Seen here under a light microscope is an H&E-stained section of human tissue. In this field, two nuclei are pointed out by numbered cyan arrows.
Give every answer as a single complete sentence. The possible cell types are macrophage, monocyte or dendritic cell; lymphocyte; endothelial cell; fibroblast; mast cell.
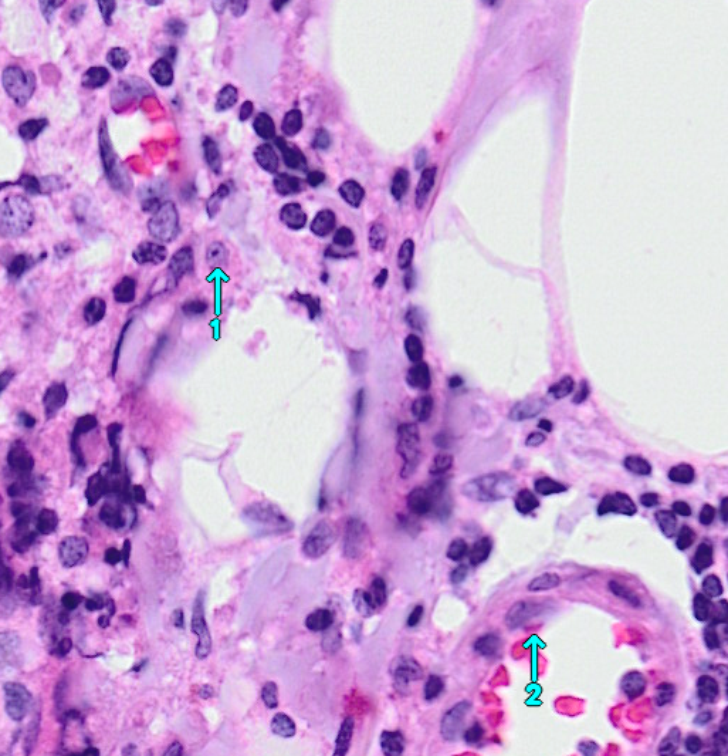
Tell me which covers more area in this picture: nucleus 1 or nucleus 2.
Number 2 is larger; its area is about 3 times that of number 1.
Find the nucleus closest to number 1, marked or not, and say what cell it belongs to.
Closest to number 1 lies the nucleus of a macrophage, monocyte or dendritic cell.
